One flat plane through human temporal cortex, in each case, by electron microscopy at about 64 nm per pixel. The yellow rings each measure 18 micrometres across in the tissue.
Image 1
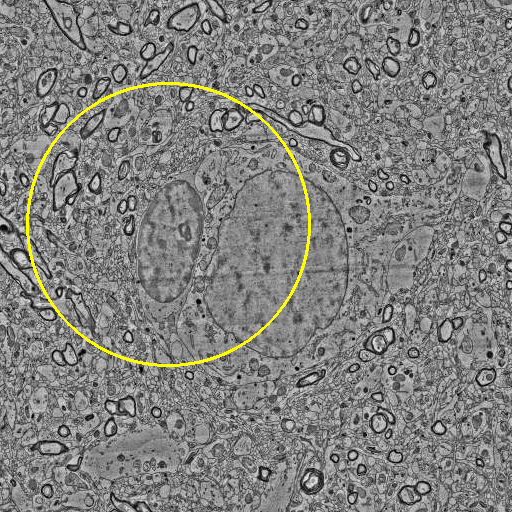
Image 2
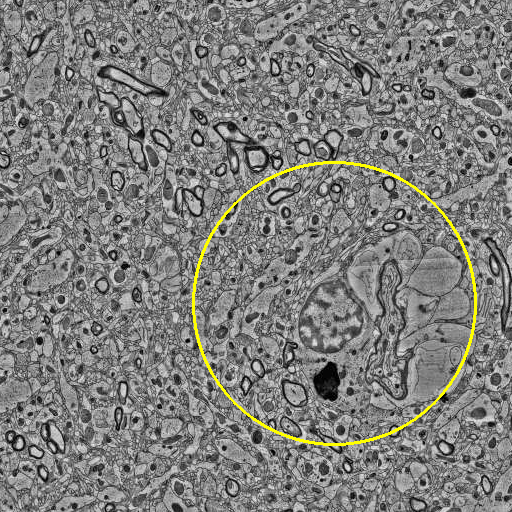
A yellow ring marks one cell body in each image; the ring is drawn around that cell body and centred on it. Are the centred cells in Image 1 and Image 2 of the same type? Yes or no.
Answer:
yes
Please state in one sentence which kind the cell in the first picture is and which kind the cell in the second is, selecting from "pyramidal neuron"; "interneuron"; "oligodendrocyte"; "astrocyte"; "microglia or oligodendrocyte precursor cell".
In the first picture and in the second, the ring is centred on an oligodendrocyte.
